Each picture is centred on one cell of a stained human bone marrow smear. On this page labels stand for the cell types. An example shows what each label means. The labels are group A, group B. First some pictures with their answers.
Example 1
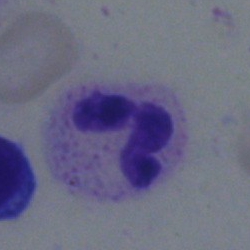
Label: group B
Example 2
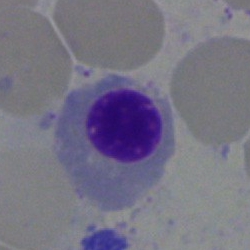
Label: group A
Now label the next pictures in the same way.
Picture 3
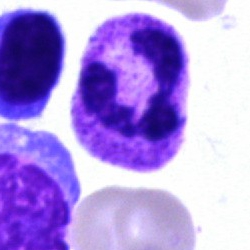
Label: group B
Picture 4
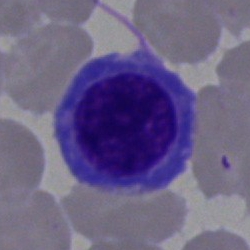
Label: group A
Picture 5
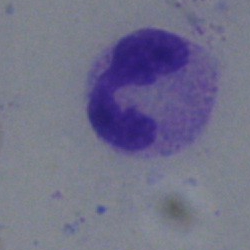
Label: group B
